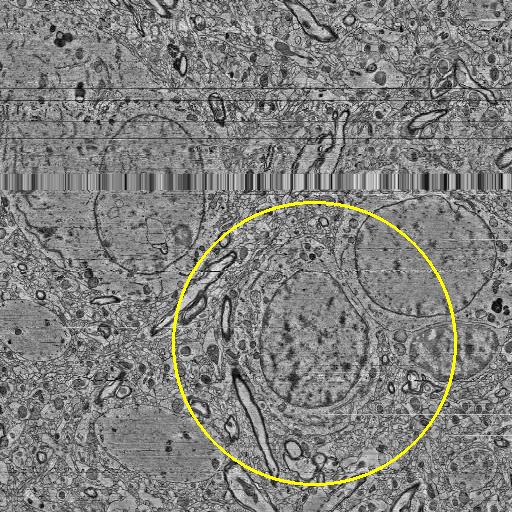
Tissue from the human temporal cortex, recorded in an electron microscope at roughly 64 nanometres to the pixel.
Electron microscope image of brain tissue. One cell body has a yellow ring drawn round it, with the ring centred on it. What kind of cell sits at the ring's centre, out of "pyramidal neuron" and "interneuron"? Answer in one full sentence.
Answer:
It is an interneuron whose cell body sits at the centre of the yellow ring.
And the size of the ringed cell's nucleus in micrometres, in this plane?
In this plane the nucleus measures roughly 9 by 7 micrometres.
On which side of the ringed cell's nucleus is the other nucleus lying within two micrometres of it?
The second nucleus lies to the upper right of it.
